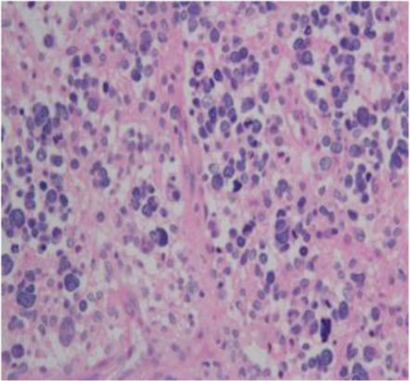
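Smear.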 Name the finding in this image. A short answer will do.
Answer: Marked atypia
